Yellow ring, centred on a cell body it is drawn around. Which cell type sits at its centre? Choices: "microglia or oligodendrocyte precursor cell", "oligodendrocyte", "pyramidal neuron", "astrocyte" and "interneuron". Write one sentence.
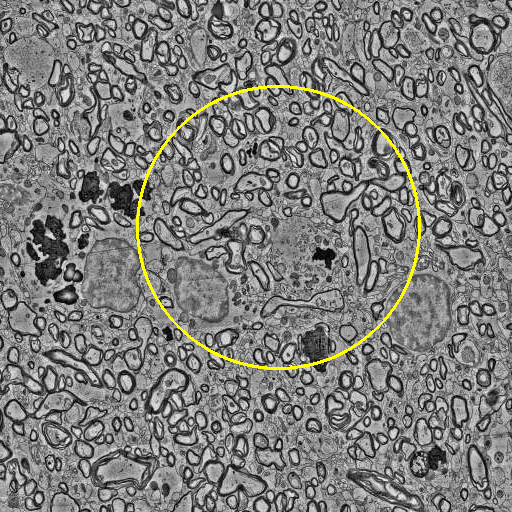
At the centre of the ring sits an oligodendrocyte.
